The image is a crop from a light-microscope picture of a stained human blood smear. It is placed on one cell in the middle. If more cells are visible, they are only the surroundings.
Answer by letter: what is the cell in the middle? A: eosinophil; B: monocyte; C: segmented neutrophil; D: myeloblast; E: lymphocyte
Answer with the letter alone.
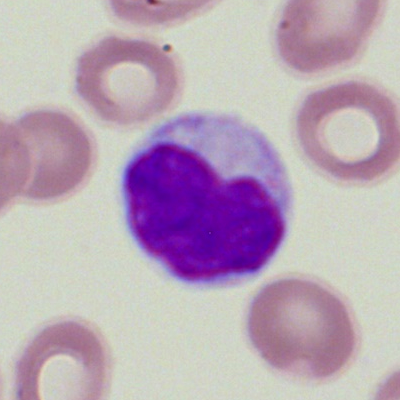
E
